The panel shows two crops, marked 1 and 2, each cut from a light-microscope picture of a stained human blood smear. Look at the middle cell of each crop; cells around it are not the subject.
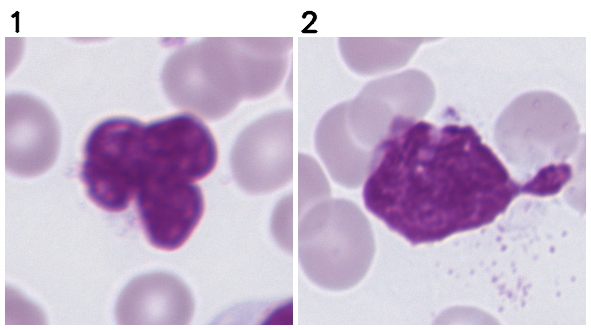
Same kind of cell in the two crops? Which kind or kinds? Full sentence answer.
Yes, the cells at the middle of both crops are smudge cells.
